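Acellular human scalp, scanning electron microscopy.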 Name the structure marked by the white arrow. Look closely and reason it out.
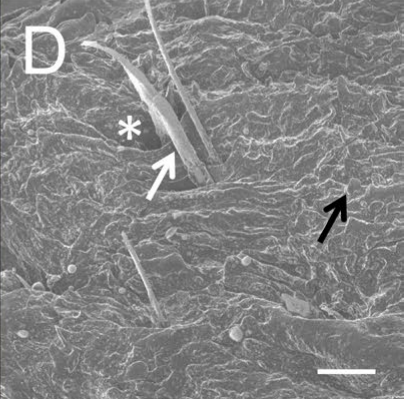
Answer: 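A long slender cylindrical fibre lies across the fibrous surface. It emerges next to a dark opening. So: hair shaft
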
